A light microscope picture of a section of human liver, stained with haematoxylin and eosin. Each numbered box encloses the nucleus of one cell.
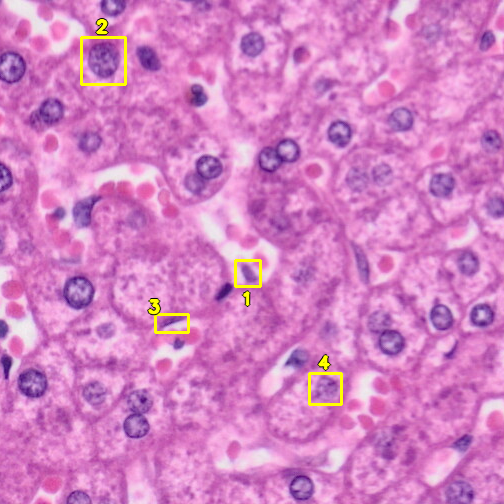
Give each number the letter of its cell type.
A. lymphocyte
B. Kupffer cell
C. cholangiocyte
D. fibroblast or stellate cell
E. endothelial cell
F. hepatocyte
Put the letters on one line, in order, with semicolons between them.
B; F; E; F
